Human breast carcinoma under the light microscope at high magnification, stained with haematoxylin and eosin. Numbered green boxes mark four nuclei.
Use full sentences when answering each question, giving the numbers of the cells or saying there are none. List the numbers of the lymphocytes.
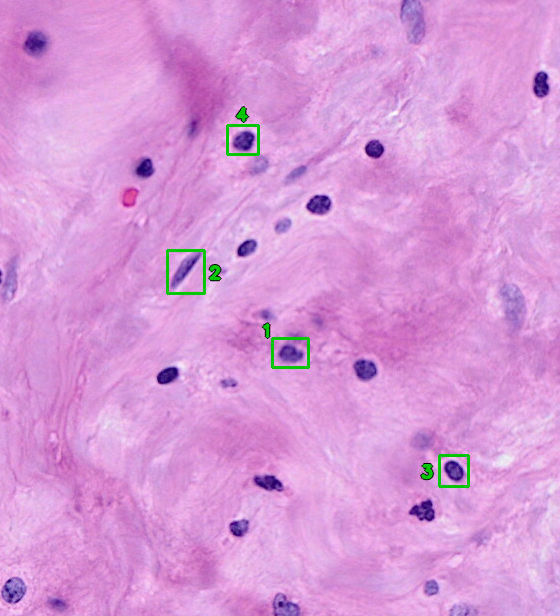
The numbers 1, 3 and 4 in this section indicate lymphocytes.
